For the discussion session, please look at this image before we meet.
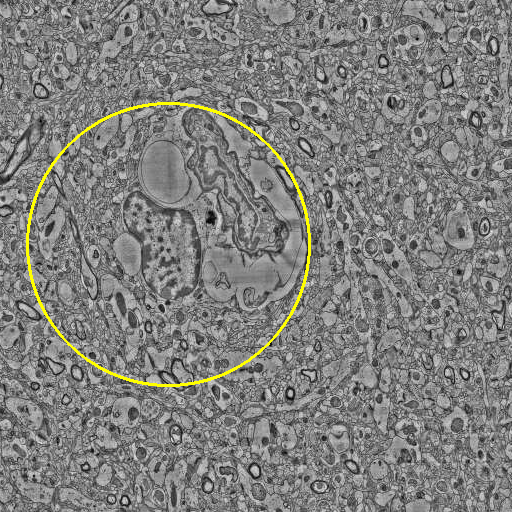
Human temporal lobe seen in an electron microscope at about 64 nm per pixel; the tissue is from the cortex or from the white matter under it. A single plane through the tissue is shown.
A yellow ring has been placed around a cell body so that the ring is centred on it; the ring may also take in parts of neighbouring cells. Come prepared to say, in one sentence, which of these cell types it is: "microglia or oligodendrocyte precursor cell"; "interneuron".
The cell centred in the ring is a microglial cell or oligodendrocyte precursor cell.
